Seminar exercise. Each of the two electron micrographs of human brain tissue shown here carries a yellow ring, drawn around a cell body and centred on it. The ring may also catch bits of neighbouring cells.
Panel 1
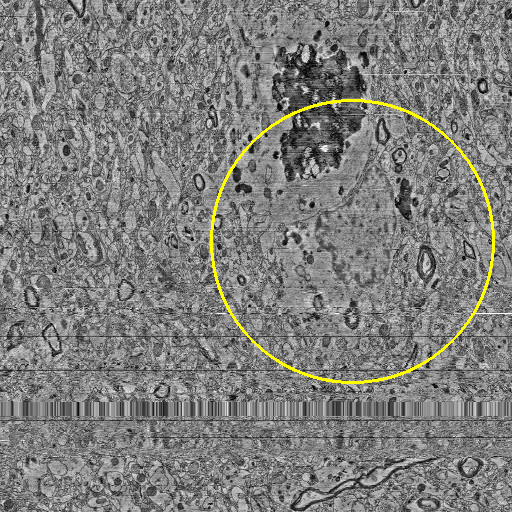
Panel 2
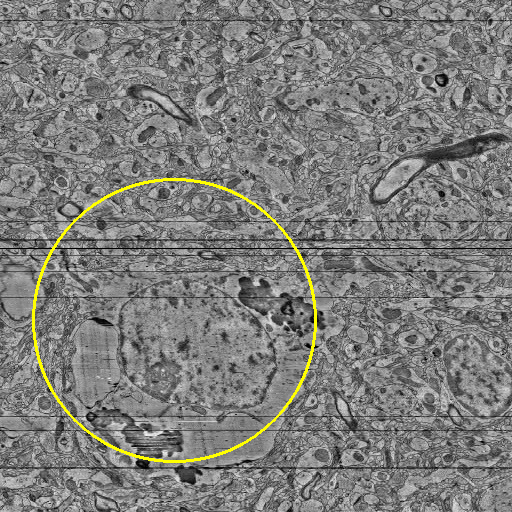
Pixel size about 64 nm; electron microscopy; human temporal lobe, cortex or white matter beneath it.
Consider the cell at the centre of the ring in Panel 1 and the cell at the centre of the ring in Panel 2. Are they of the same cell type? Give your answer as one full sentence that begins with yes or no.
Yes, both cells are of the same type.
